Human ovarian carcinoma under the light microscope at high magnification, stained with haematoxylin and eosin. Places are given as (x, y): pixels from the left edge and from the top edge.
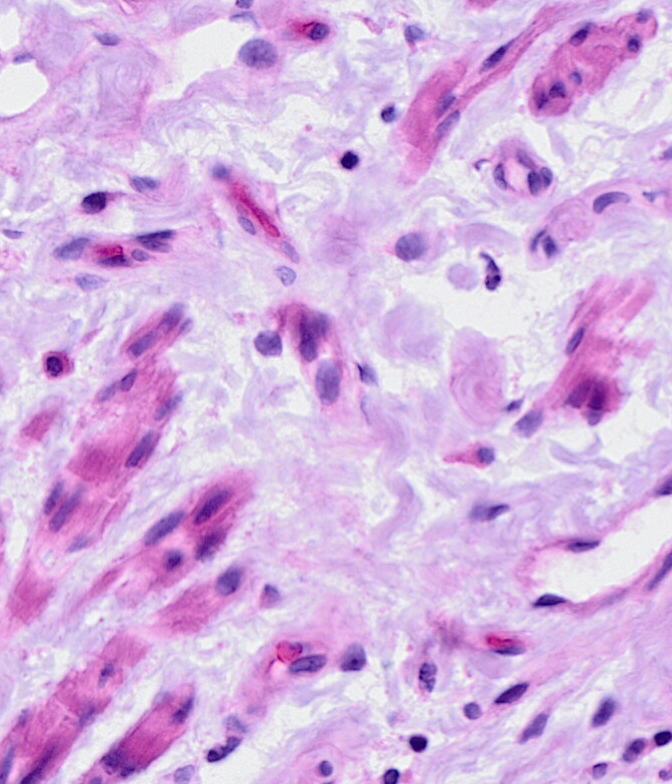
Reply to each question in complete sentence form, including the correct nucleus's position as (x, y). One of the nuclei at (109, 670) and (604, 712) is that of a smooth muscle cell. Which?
The nucleus lying at (109, 670) is the nucleus of a smooth muscle cell.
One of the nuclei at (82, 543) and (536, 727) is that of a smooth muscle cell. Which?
Of the two candidate nuclei, the one at (82, 543) is that of a smooth muscle cell.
